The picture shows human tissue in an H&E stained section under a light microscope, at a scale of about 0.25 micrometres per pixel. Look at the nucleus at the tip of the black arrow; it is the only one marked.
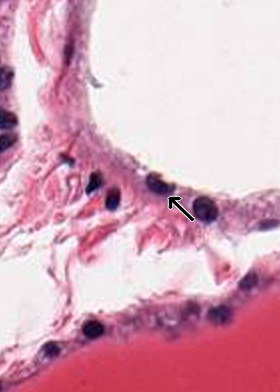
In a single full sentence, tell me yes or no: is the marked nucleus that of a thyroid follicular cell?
Yes, the nucleus that carries the mark belongs to a thyroid follicular cell.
